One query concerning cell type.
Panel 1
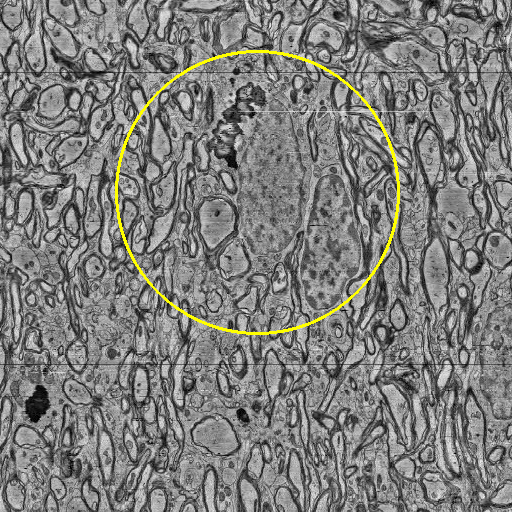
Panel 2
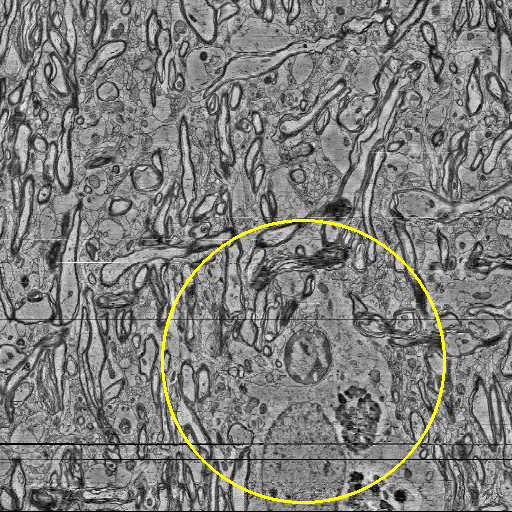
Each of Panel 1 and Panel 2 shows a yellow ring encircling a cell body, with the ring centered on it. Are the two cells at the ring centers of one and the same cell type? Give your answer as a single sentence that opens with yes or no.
No, the cell centered in Panel 1 and the one in Panel 2 are of two types.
